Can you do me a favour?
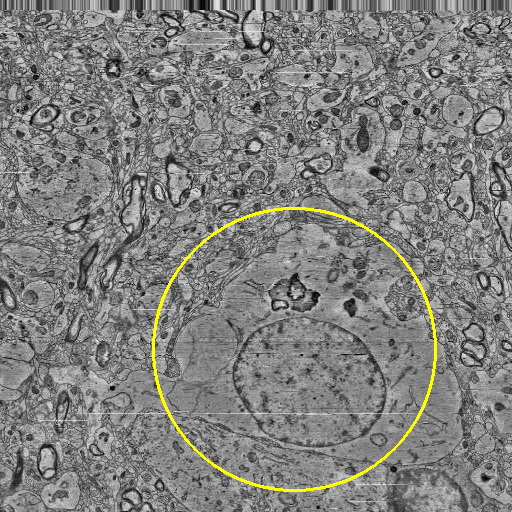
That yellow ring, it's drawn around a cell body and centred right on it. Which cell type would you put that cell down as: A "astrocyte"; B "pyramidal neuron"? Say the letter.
A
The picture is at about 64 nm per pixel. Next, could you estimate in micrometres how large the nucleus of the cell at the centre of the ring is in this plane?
In this plane the nucleus is about 10 micrometres by 9.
